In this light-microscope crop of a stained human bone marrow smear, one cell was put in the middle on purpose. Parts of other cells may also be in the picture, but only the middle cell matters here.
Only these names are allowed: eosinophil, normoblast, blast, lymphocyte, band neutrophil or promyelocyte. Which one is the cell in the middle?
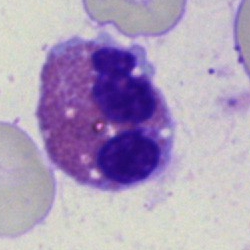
eosinophil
